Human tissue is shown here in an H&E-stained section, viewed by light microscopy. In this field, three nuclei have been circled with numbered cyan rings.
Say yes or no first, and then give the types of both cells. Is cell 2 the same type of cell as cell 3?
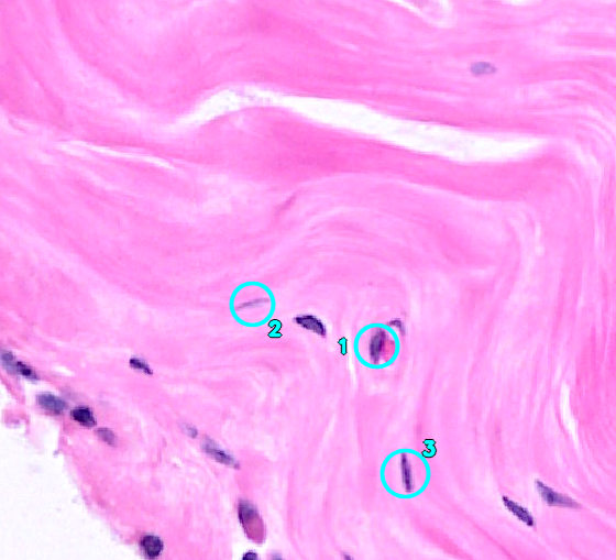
Yes, both are fibroblasts.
